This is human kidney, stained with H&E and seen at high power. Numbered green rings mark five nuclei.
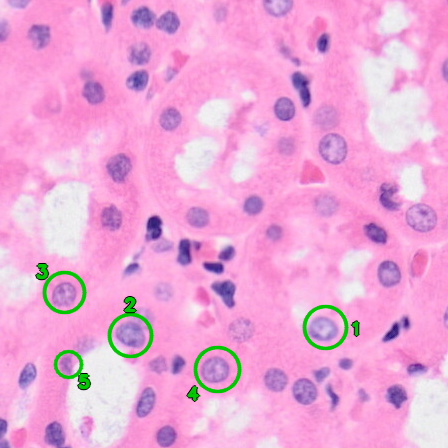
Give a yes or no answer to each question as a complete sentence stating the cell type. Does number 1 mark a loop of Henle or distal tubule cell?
No, cell 1 does not count as a loop of Henle or distal tubule cell; it is a proximal tubule cell.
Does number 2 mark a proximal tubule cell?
No, cell 2 is not a proximal tubule cell; a loop of Henle or distal tubule cell is correct.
